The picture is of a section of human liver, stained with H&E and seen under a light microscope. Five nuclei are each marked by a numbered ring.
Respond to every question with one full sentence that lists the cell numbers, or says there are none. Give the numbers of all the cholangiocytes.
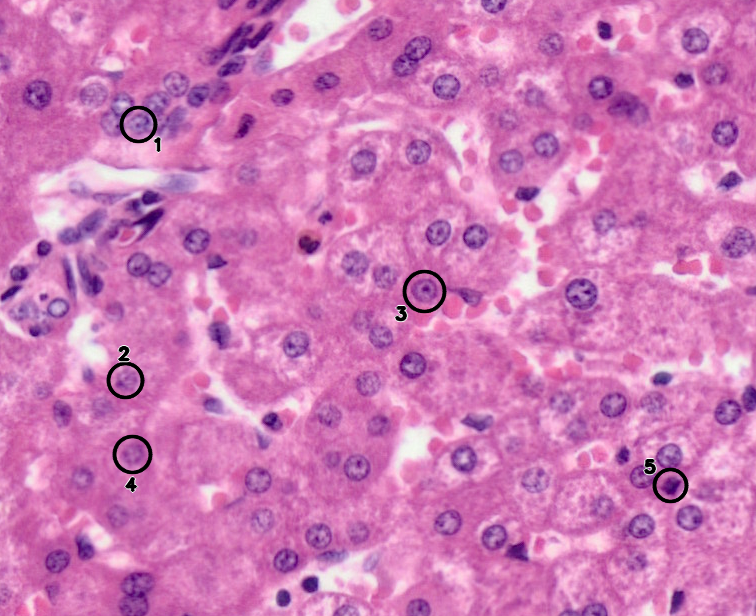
Of the cells bearing numbers, the only one that is a cholangiocyte is cell 1.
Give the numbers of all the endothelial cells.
All of the numbered cells are cells other than endothelial cells.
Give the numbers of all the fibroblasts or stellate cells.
Only number 5 of the marked cells is a fibroblast or stellate cell.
